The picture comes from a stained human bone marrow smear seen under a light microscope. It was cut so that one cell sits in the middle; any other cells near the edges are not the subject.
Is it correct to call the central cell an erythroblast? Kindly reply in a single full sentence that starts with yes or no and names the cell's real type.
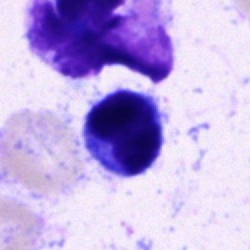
No, the cell of interest here is a lymphocyte and not an erythroblast.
